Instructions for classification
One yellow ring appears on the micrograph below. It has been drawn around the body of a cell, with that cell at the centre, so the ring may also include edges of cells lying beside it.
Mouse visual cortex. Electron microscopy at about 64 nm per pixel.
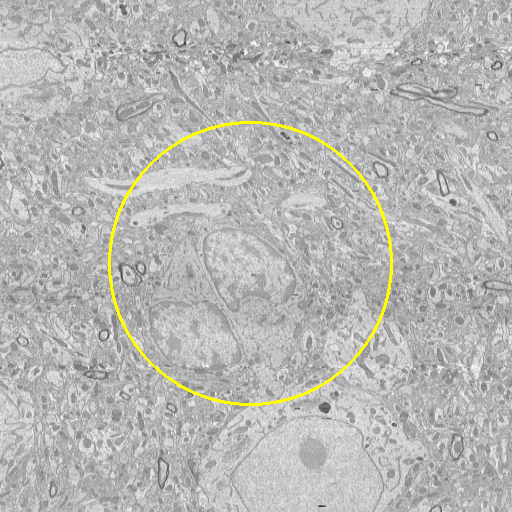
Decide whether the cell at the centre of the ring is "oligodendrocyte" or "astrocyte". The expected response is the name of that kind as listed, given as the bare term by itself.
oligodendrocyte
